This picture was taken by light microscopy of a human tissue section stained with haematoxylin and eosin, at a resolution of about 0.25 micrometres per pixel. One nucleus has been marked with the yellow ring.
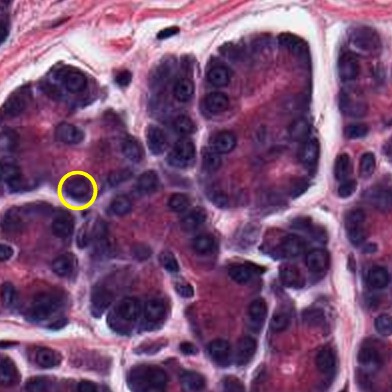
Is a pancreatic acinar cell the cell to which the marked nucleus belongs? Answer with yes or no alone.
yes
